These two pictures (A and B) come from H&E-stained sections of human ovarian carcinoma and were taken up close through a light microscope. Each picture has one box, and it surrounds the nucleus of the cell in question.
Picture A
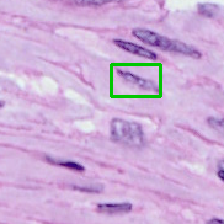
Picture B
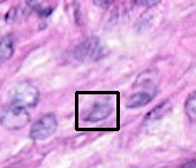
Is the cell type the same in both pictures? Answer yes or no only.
yes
